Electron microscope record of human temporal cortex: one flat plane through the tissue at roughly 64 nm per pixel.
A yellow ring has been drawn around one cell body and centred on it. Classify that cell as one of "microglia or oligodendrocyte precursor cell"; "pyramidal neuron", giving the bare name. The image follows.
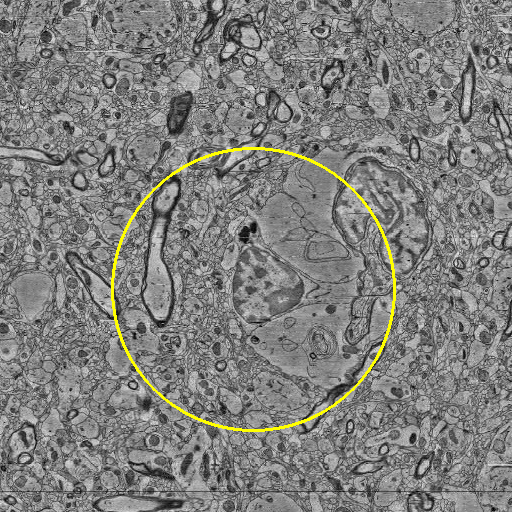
microglia or oligodendrocyte precursor cell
